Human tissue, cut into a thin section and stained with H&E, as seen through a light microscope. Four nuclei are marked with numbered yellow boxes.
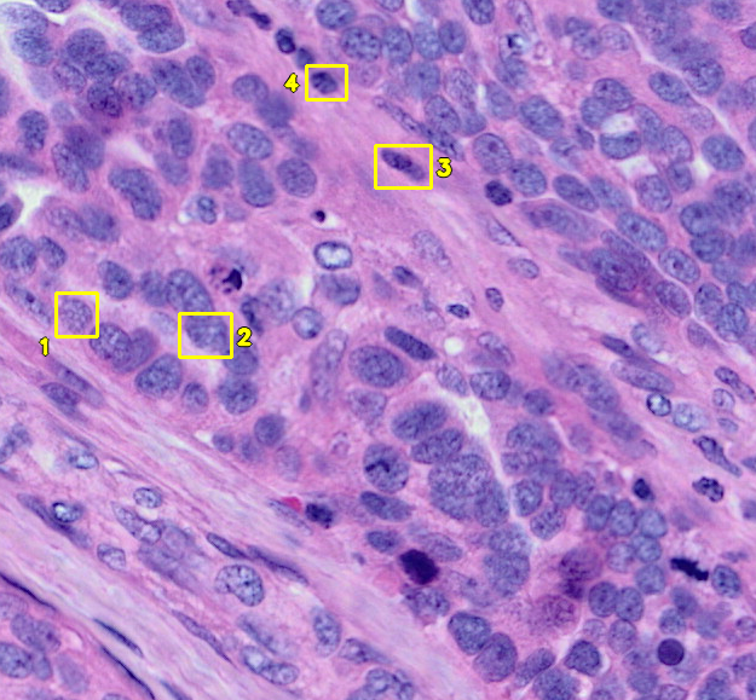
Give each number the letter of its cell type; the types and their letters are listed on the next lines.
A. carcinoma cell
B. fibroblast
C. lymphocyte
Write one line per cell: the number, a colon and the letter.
1: A
2: A
3: C
4: C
